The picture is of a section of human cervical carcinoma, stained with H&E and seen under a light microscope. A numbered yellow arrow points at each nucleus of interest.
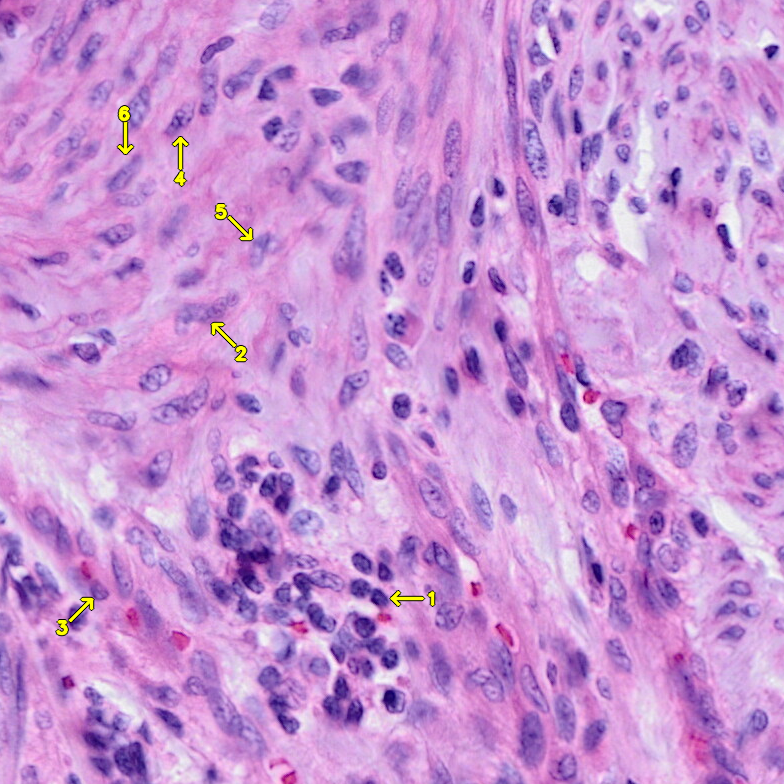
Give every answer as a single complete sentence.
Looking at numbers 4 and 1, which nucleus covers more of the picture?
Nucleus 4 is the larger one, covering about 1.5 times the area of nucleus 1.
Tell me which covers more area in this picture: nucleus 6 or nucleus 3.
Nucleus 6 covers more area, about 2 times as much as nucleus 3.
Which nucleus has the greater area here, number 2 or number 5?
Nucleus 2 is the larger one, covering about 1.5 times the area of nucleus 5.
